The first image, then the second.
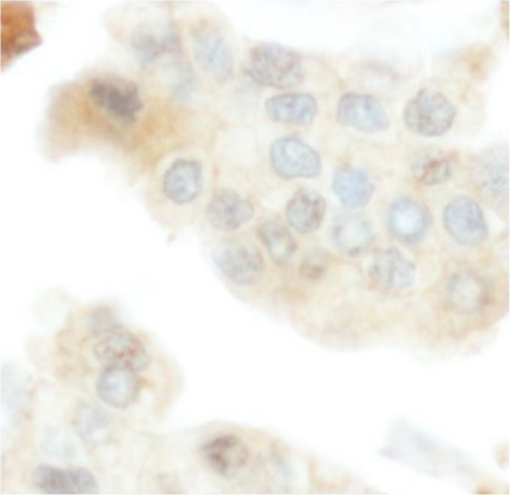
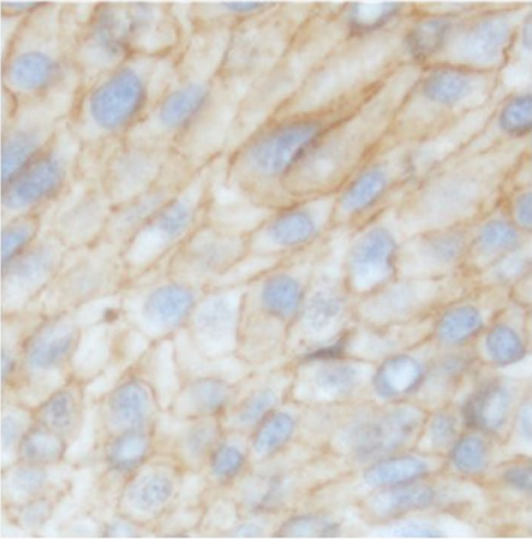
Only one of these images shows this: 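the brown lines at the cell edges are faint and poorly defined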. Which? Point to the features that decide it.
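The first image. First image: cell borders show only weak, diffuse pale brown tint without crisp outlines. Second image: sharp brown lines clearly outline each cell.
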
